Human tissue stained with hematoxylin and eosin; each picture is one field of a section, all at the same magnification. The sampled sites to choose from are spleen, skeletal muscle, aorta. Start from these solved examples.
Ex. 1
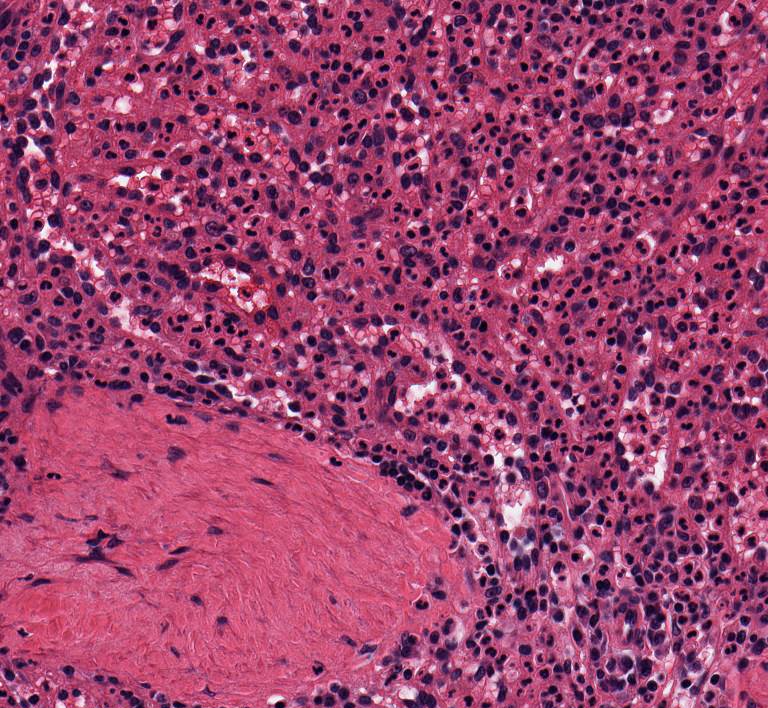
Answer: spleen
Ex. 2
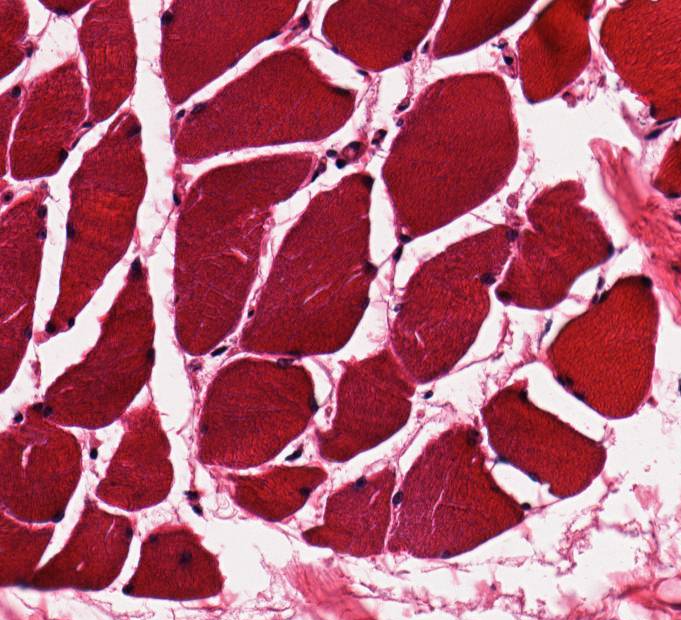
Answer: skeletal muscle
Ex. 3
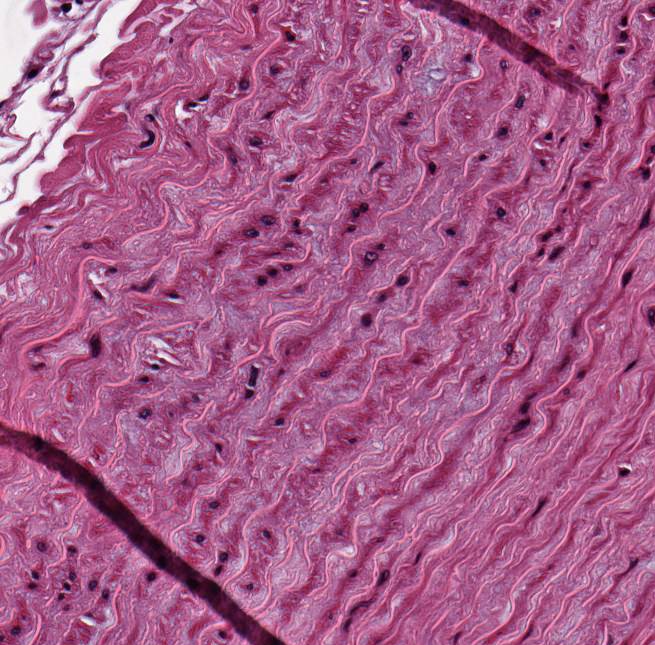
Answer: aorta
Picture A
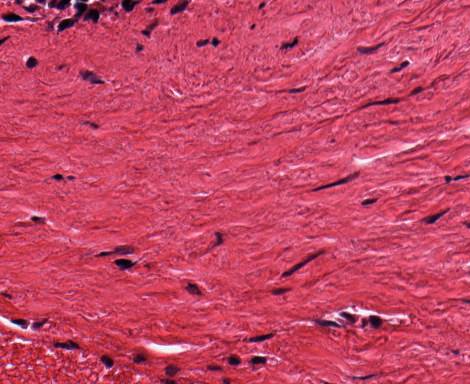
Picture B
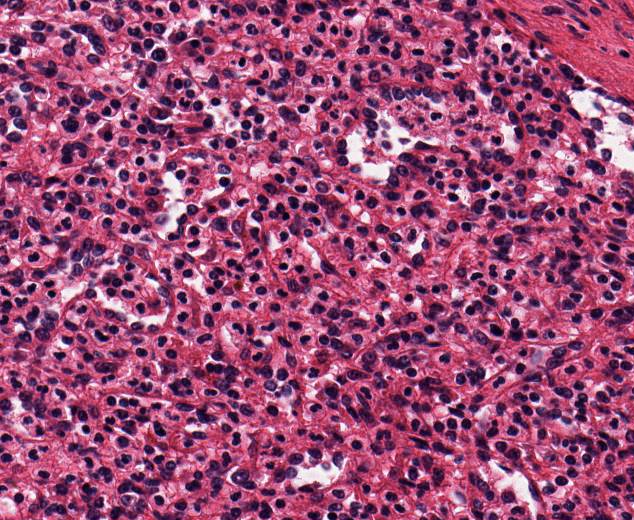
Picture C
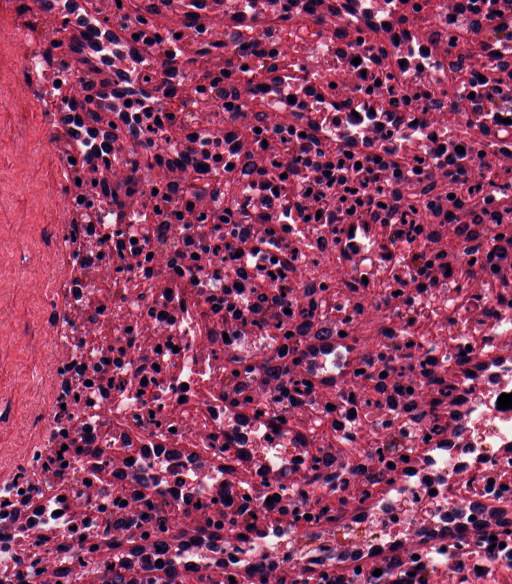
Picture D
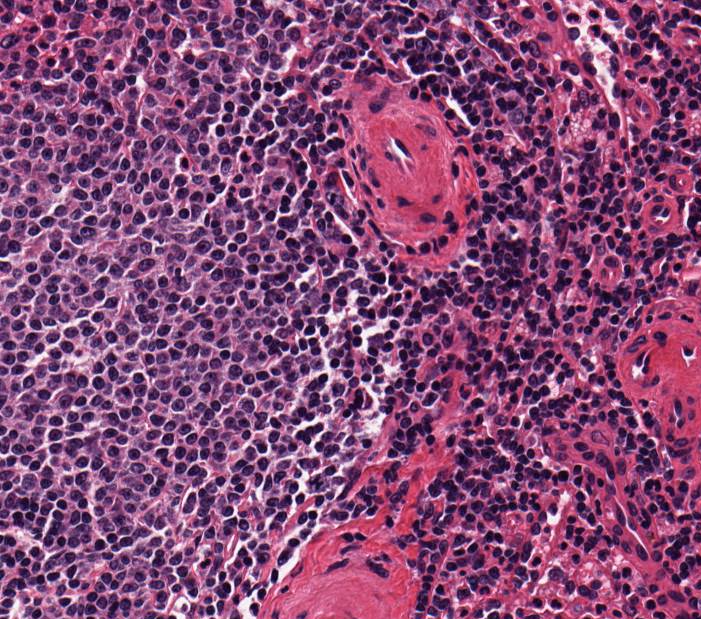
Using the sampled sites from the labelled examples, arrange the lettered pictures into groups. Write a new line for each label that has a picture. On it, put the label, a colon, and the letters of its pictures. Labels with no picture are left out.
spleen: A, B, C, D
